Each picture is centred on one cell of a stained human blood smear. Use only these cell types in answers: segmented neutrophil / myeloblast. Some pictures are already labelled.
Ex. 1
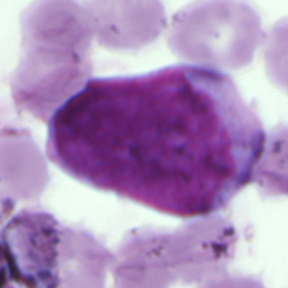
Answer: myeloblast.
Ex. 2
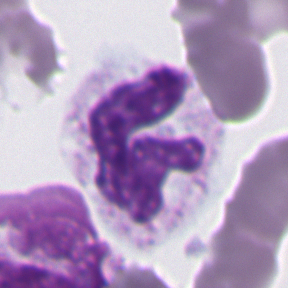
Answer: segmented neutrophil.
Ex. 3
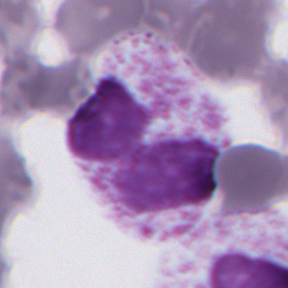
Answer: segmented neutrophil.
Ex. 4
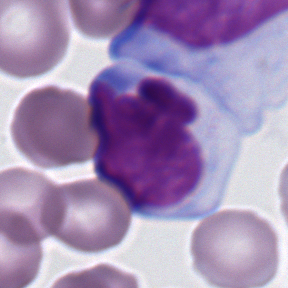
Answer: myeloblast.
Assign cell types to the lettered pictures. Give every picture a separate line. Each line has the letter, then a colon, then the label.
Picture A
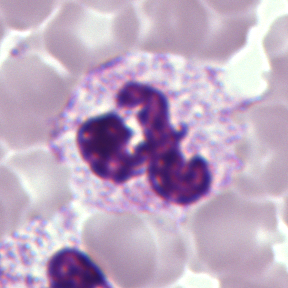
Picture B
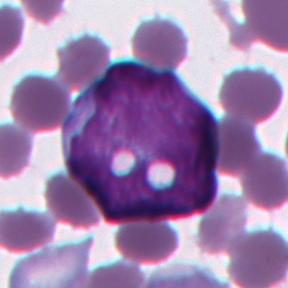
A: segmented neutrophil.
B: myeloblast.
